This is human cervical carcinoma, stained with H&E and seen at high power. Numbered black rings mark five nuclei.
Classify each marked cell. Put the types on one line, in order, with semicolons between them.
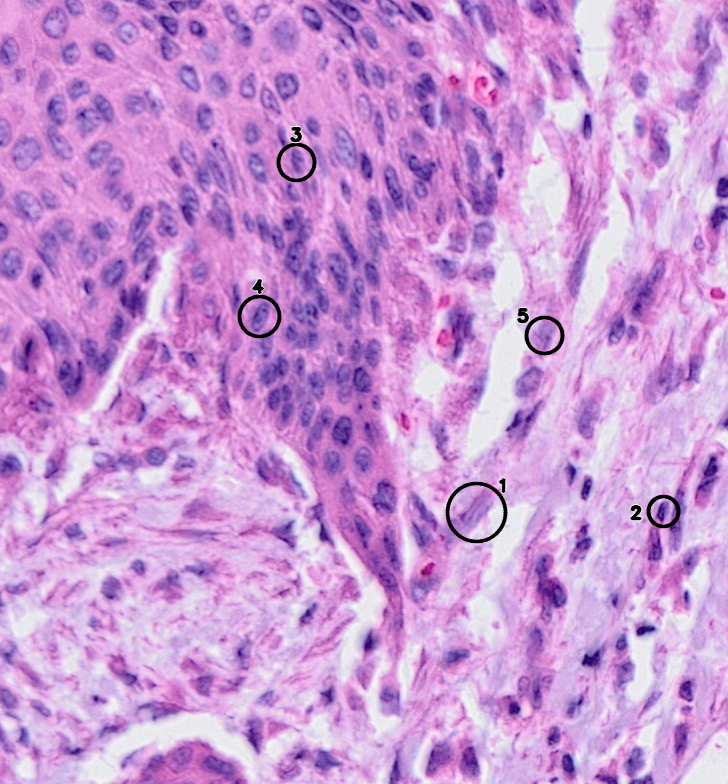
fibroblast; lymphocyte; squamous carcinoma cell; squamous carcinoma cell; fibroblast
